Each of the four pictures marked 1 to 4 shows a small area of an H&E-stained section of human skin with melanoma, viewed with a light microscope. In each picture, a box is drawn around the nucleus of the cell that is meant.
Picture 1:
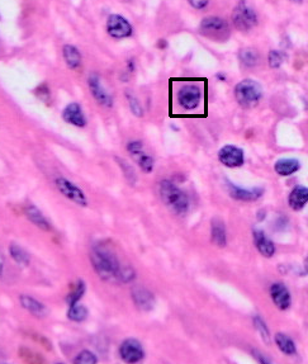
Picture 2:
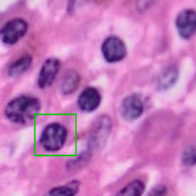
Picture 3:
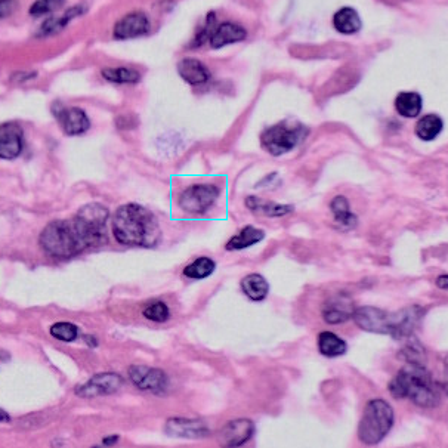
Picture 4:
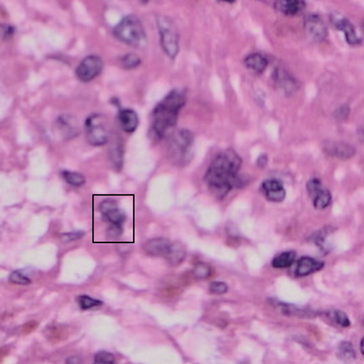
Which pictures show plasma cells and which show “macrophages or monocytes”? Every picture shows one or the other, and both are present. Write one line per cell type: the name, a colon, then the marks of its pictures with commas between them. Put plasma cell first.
plasma cell: 1, 2
macrophage or monocyte: 3, 4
